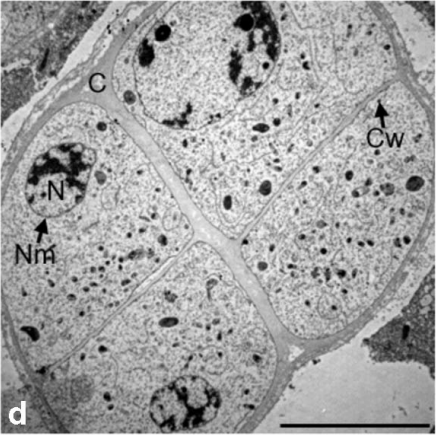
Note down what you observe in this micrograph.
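Electron micrograph of a tetrad of microspores. Four rounded cells are packed together and separated by thick pale walls, with a broad pale layer also surrounding the group. The cytoplasm is finely granular and holds many small dark round bodies scattered throughout. Denser tissue borders the tetrad at the corners of the field.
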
